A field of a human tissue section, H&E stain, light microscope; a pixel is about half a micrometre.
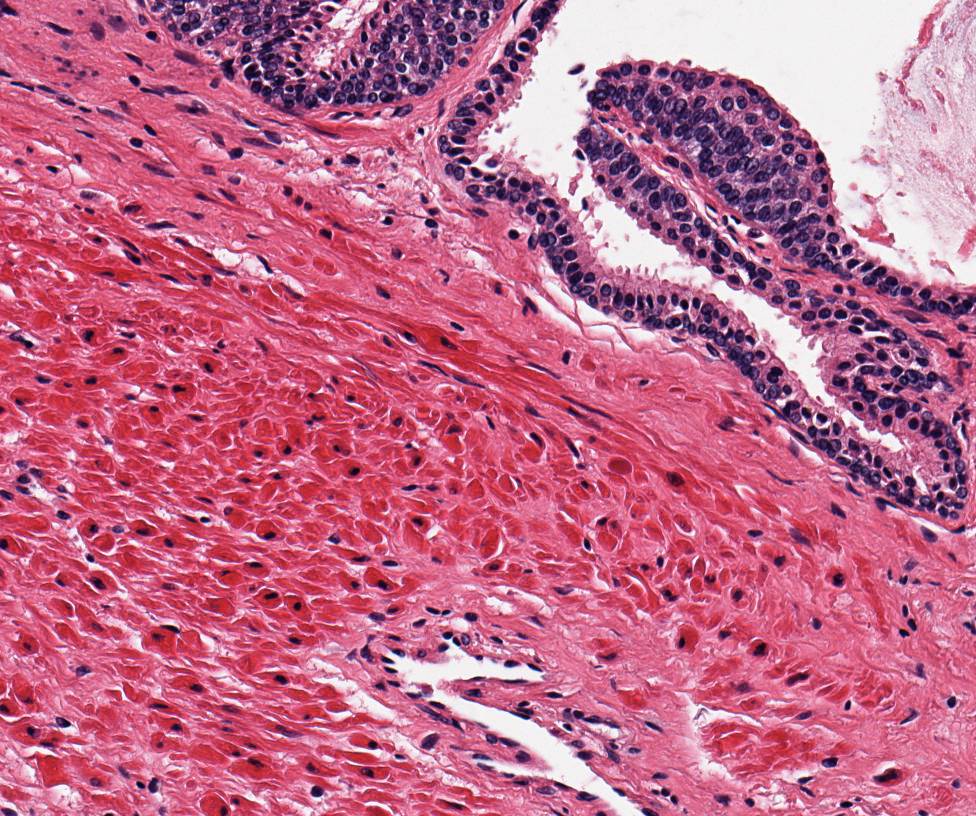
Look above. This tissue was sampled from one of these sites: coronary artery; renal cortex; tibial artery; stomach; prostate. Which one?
prostate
